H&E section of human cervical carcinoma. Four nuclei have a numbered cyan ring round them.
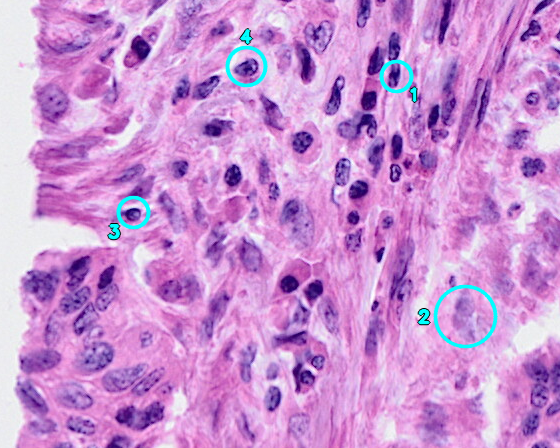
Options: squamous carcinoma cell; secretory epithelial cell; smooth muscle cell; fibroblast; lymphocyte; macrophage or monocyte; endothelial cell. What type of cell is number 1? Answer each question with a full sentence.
The marked cell with the number 1 is recognised as a lymphocyte.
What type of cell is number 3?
In this section, the cell numbered 3 is a lymphocyte.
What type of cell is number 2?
The cell whose nucleus carries the number 2 is a fibroblast.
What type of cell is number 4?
The nucleus with number 4 is that of a lymphocyte.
